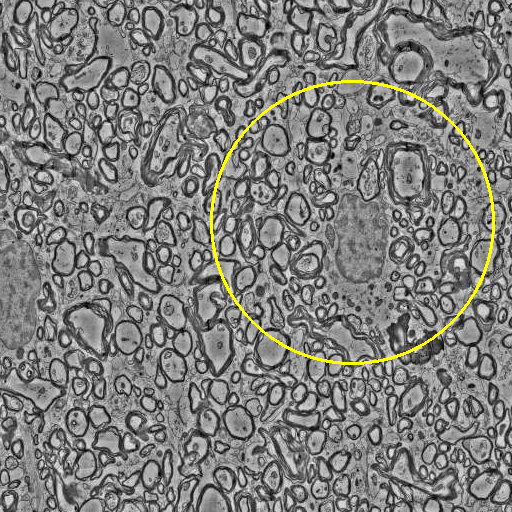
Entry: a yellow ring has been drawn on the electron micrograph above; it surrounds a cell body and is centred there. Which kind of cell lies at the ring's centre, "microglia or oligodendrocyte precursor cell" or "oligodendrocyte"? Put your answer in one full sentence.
The cell sitting at the ring's centre is an oligodendrocyte in the micrograph above.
